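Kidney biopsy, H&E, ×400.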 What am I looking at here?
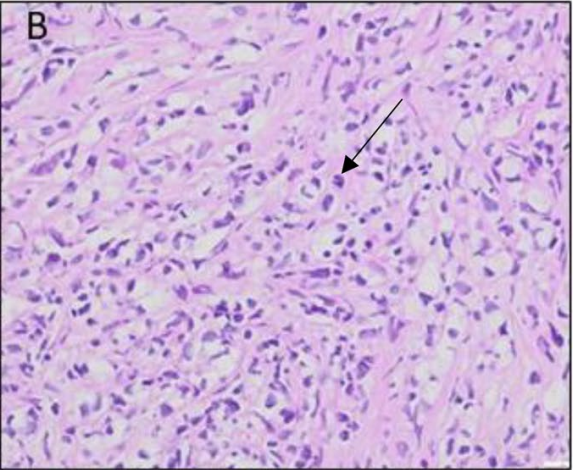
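Higher view of an infiltrate of large atypical lymphoid cells in renal tissue. The cells lie loosely scattered and in small groups within pale pink fibrous stroma. Their nuclei are large, dark purple and irregular, varying in size and shape, some elongated. Cytoplasm is scant, and clear spaces lie between many cells. No normal tubular structures are evident in the field.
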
